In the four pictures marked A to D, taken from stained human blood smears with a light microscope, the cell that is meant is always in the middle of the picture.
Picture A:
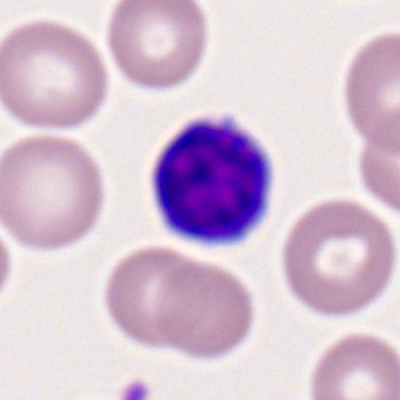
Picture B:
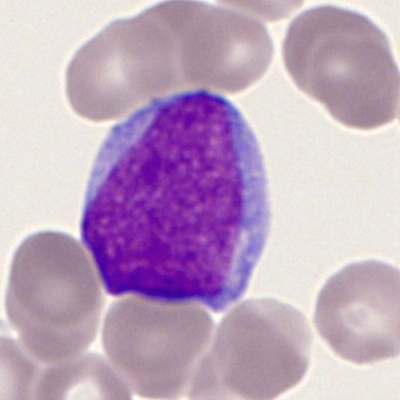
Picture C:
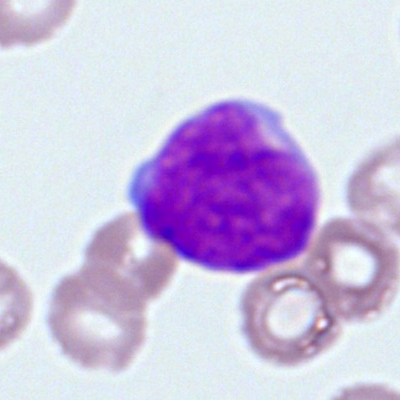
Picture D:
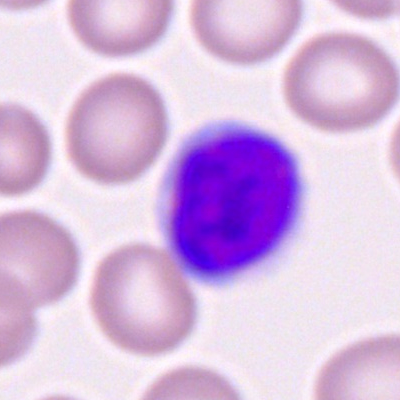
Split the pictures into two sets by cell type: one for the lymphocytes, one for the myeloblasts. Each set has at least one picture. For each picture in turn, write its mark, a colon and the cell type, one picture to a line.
A: lymphocyte
B: myeloblast
C: myeloblast
D: lymphocyte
